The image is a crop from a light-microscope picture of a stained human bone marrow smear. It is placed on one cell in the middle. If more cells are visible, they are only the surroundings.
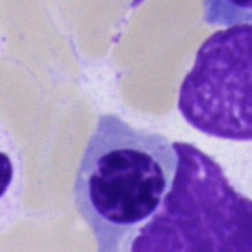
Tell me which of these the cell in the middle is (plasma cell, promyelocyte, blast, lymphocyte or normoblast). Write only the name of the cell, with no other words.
normoblast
